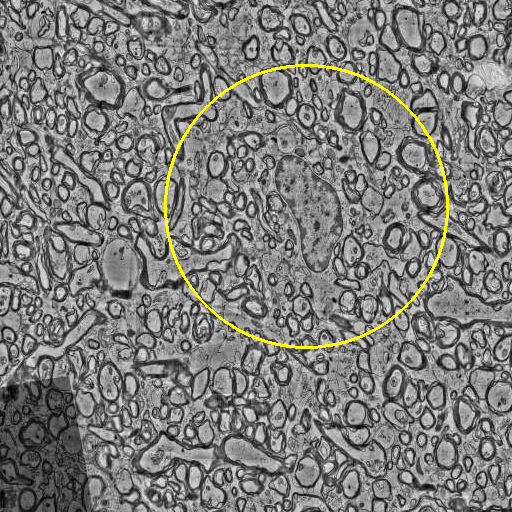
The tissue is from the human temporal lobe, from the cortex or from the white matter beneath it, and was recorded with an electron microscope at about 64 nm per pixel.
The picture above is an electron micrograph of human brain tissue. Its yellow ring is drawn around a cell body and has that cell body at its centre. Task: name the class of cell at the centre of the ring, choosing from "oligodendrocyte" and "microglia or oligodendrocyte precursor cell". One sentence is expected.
The ring surrounds the body of a microglial cell or oligodendrocyte precursor cell.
